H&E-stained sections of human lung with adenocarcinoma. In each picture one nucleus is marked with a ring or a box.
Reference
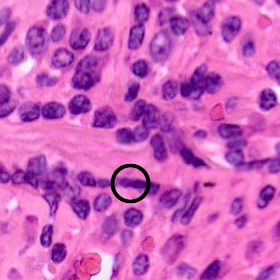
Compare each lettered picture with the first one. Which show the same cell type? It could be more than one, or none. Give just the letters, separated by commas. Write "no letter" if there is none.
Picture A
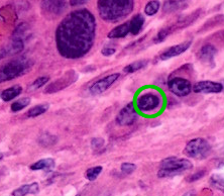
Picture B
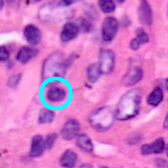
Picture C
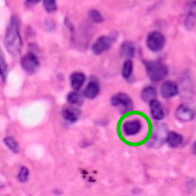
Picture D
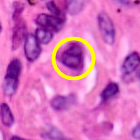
B, C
